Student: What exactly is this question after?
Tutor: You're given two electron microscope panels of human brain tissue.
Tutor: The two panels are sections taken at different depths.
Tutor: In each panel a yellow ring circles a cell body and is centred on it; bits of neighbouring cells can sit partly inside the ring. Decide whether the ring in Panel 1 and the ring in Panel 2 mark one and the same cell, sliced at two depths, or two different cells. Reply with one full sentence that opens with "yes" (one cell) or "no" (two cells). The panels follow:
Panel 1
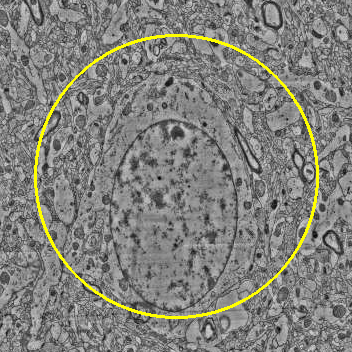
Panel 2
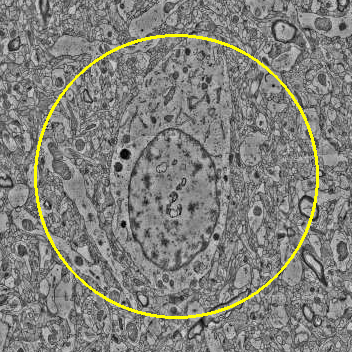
Yes, what the two rings mark is one cell.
